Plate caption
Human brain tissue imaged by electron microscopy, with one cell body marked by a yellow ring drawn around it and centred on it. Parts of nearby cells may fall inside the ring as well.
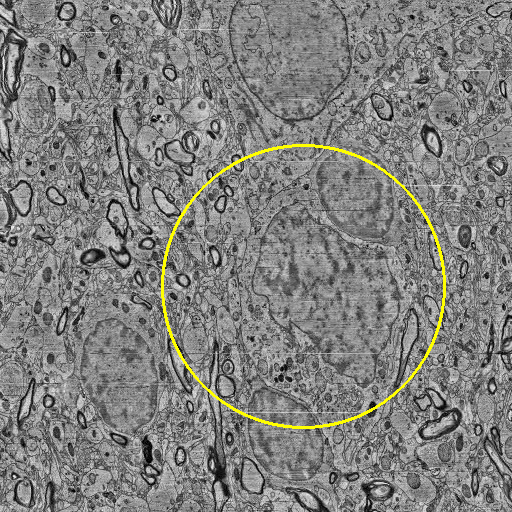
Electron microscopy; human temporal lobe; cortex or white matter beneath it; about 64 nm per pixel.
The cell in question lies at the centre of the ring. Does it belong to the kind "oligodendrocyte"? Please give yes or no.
No, it belongs to another kind.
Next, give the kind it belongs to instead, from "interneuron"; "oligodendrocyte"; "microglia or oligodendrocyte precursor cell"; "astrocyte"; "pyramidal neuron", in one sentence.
Instead, the picture shows an interneuron at the centre of the ring.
